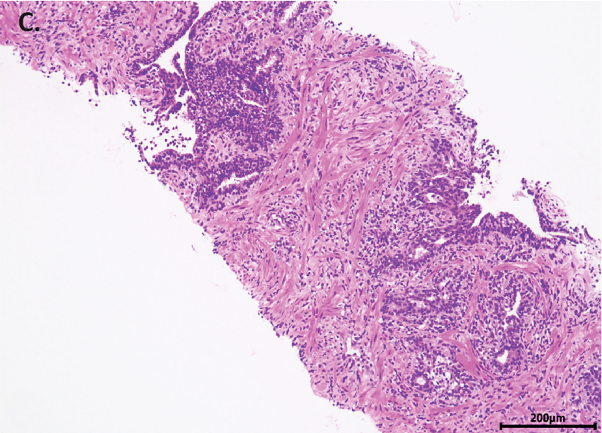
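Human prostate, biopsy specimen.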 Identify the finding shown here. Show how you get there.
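Inflammatory cell infiltration. Dense clusters of small, dark purple round nuclei crowd the tissue. These dense nuclear clusters lie around and among the small glands. Pink spindle-cell stroma between glands is also dotted with small dark nuclei.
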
